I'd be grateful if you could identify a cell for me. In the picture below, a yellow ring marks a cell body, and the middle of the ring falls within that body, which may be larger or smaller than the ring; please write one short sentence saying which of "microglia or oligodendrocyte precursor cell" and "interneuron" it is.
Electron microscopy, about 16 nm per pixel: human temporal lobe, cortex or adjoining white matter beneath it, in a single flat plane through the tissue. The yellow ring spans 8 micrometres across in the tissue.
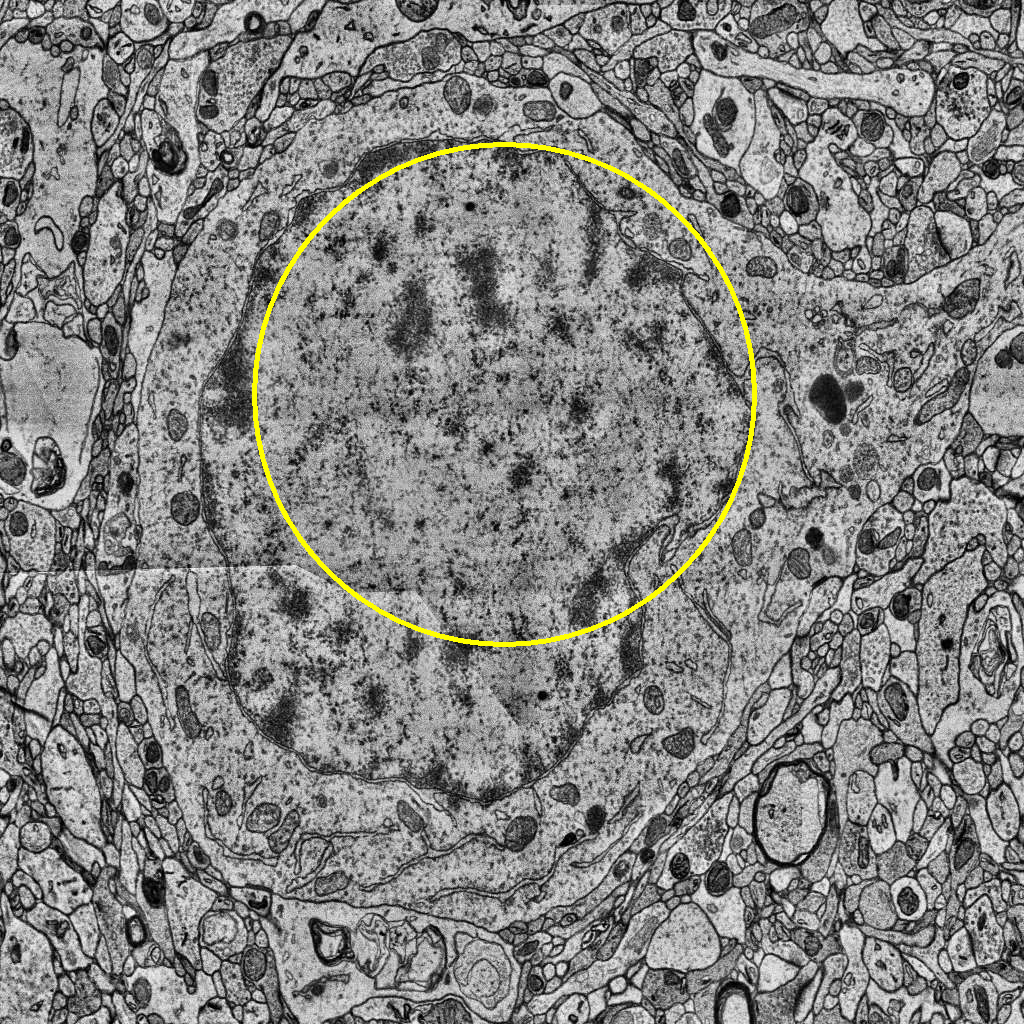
The cell under the ring's centre is an interneuron.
